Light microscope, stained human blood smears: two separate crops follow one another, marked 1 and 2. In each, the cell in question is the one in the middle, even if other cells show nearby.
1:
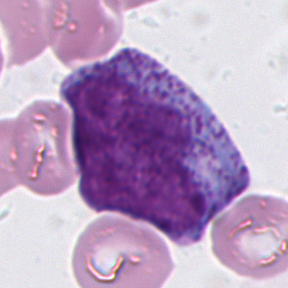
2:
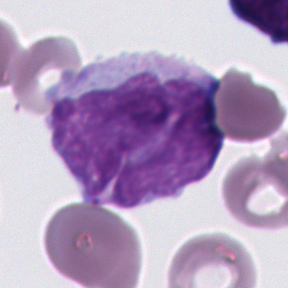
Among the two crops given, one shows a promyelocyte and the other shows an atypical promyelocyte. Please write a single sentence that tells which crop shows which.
Crop 1 has been identified as a promyelocyte, and crop 2 has been identified as an atypical promyelocyte.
